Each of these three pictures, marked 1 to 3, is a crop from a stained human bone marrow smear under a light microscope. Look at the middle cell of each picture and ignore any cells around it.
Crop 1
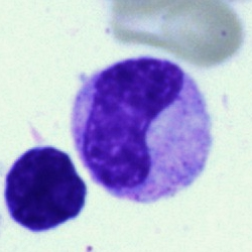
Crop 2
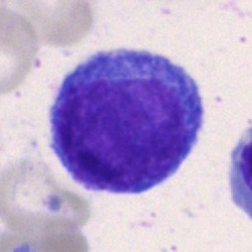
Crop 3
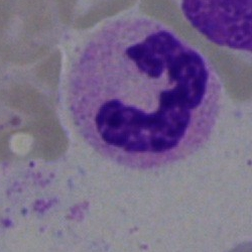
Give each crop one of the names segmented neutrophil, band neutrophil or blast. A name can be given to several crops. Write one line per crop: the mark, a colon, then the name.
1: band neutrophil
2: blast
3: segmented neutrophil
